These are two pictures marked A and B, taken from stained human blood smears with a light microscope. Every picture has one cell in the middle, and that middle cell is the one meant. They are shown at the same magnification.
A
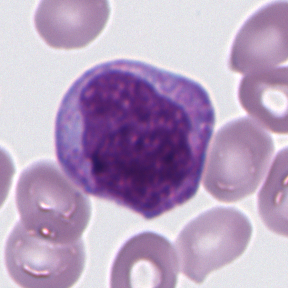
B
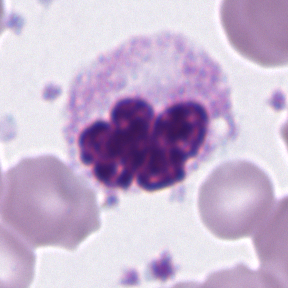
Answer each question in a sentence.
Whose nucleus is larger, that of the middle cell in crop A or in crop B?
The nucleus in crop A is larger, with about 1.5 times the area of the one in crop B.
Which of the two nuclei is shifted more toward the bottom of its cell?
It is the nucleus in crop B that lies further toward the bottom of its cell.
